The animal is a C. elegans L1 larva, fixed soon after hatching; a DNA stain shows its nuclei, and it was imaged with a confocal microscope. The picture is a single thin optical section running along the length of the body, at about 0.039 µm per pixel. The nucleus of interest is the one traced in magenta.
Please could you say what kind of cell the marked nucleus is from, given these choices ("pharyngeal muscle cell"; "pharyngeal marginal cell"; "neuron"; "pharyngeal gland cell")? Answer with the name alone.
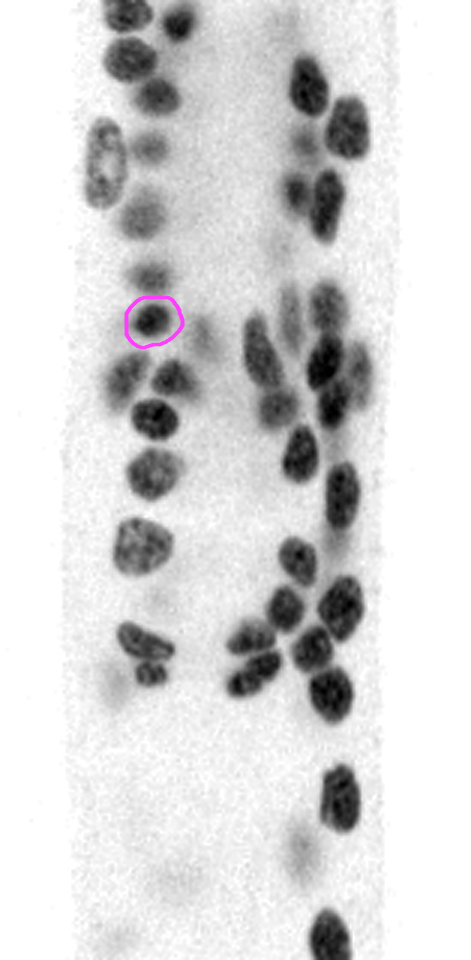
neuron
